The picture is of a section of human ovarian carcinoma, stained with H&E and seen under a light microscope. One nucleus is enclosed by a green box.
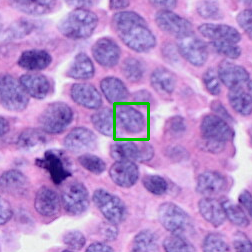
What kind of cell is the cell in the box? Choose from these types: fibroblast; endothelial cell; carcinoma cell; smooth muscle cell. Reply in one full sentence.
Within this tissue, the cell in the box is a carcinoma cell.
